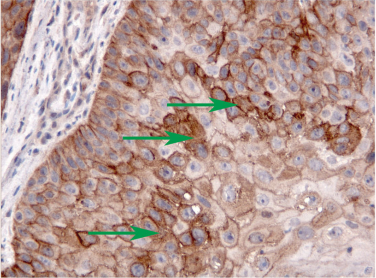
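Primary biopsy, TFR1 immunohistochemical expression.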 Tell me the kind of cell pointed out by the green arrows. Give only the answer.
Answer: Tumor cells.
